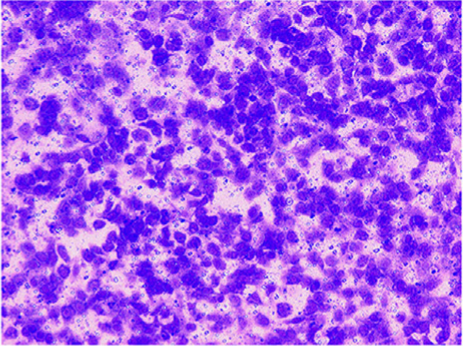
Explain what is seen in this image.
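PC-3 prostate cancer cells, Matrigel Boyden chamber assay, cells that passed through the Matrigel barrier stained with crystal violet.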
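Across a pale pink porous filter, numerous rounded to irregular cells stained deep violet crowd together in dense clusters that cover most of the field. The cells have darker nuclei within violet cytoplasm, and only small patches of membrane with its fine round pores remain visible between them.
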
